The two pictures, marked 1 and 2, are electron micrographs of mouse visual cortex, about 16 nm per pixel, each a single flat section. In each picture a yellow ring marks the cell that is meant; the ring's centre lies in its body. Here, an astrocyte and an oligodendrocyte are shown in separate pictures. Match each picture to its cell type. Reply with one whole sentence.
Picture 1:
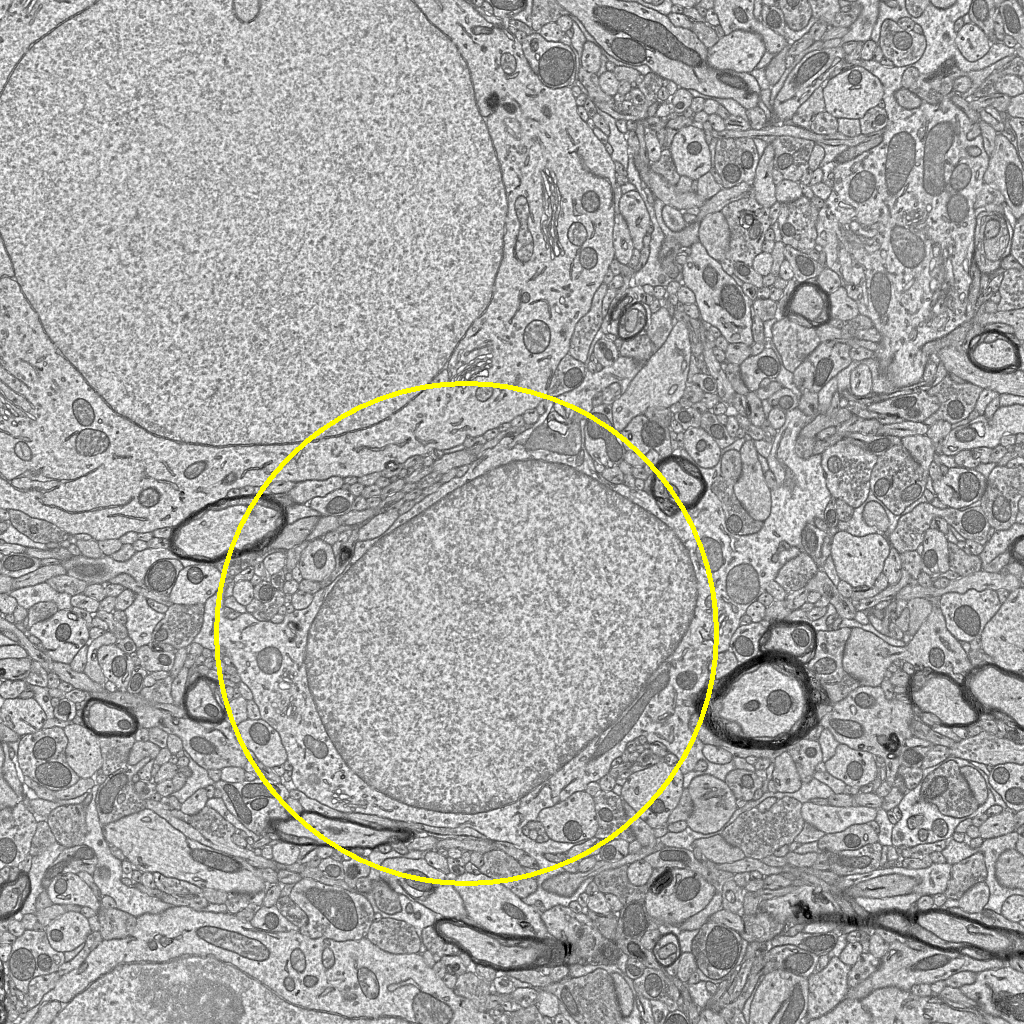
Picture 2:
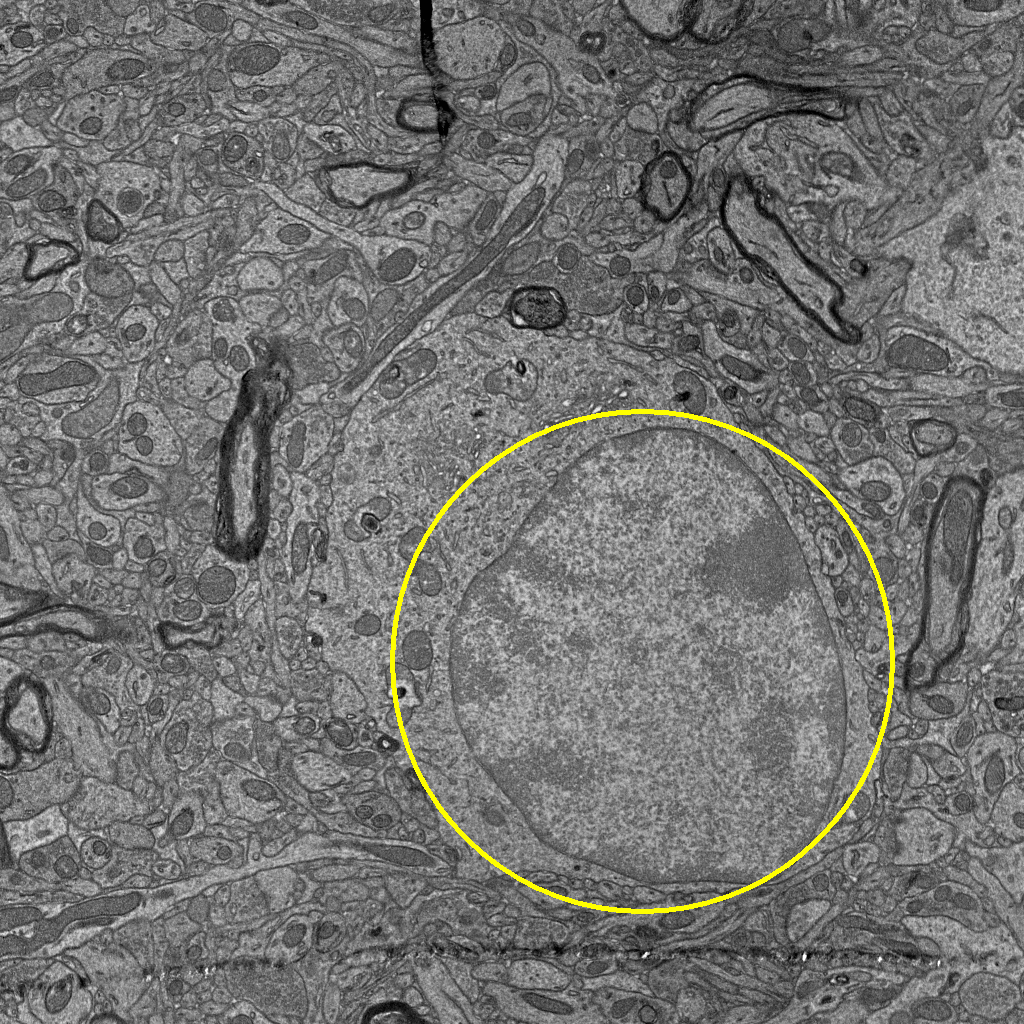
Picture 1 shows an astrocyte and picture 2 shows an oligodendrocyte.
